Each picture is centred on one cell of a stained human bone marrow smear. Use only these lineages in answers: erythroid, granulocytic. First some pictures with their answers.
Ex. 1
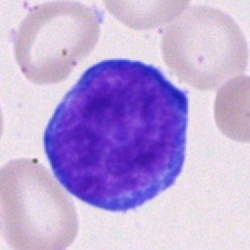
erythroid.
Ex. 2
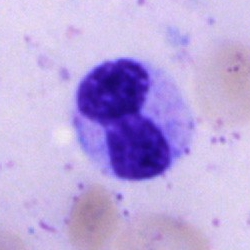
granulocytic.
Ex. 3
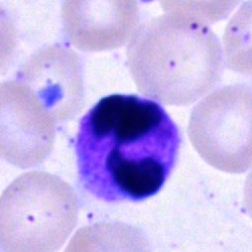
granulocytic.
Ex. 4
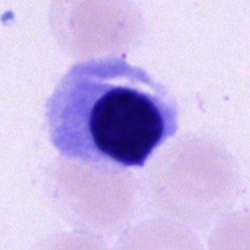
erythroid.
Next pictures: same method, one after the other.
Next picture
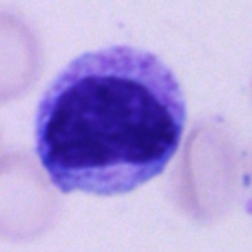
granulocytic.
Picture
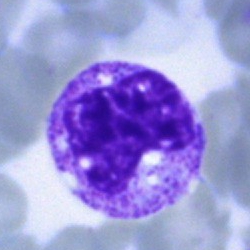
granulocytic.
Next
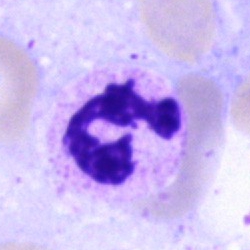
granulocytic.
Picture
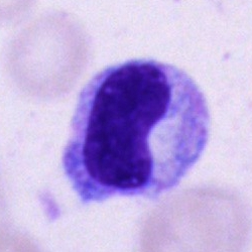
granulocytic.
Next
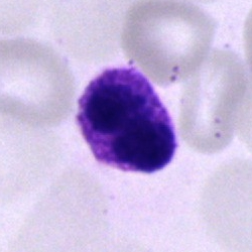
granulocytic.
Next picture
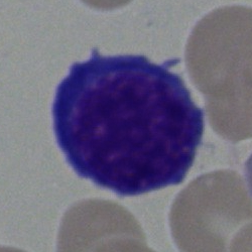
erythroid.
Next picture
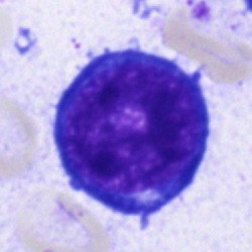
erythroid.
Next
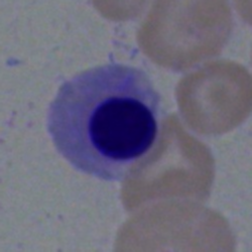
erythroid.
